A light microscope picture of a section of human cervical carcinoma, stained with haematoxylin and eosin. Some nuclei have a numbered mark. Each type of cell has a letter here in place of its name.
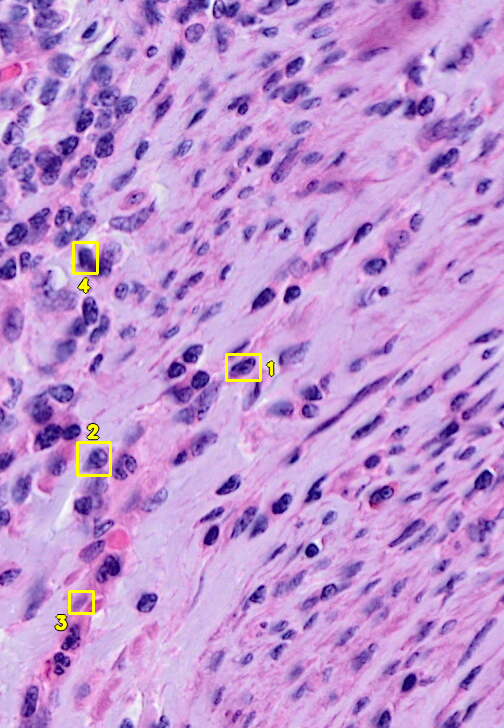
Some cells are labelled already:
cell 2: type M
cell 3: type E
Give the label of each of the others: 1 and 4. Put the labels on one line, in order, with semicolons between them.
type M; type M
